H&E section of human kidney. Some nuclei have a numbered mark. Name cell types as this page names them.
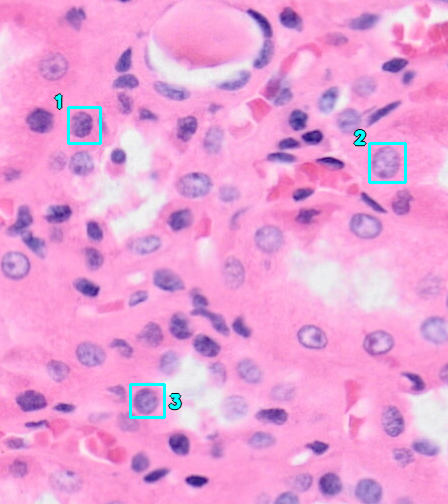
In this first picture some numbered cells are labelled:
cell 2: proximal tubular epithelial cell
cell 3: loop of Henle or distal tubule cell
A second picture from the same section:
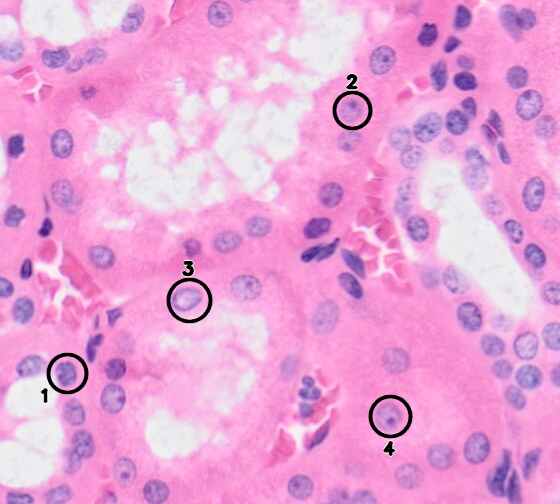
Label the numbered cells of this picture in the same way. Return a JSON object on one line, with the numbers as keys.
{"1": "loop of Henle or distal tubule cell", "2": "proximal tubular epithelial cell", "3": "proximal tubular epithelial cell", "4": "proximal tubular epithelial cell"}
